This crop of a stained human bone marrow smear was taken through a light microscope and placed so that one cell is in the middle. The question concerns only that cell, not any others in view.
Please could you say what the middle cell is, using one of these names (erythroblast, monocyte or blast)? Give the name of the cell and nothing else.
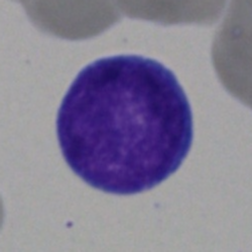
blast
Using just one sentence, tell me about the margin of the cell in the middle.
The border of this cell runs smooth and free of any projections.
